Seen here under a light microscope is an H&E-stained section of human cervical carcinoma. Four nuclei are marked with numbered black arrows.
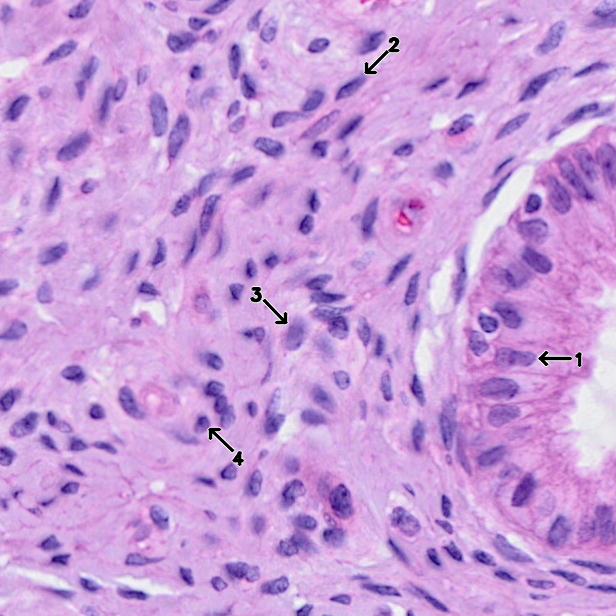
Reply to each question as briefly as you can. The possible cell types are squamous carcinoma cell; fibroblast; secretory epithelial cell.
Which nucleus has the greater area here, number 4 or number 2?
2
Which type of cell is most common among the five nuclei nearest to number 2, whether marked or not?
fibroblast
